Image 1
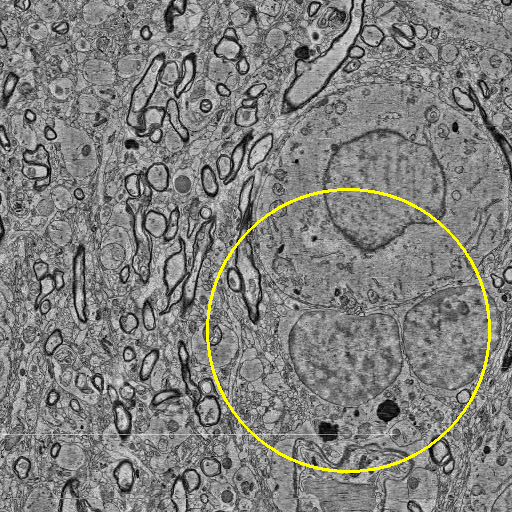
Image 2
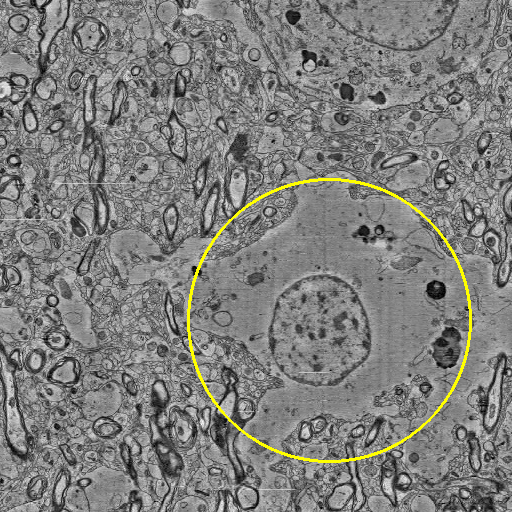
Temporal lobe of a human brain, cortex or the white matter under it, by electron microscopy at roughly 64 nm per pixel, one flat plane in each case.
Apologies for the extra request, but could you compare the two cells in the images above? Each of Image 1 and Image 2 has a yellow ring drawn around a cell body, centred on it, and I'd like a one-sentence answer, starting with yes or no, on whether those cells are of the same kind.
No, the two cells are of two kinds.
